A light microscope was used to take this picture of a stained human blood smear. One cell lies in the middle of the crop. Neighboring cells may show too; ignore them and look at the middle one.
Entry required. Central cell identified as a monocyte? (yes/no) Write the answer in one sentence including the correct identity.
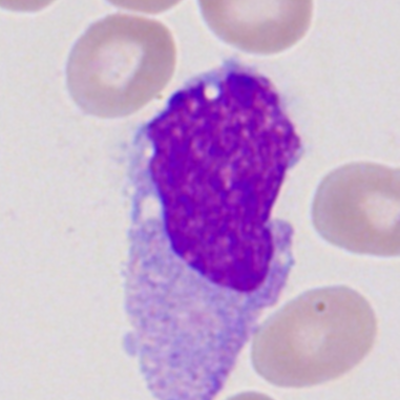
Yes, the middle cell is classified as a monocyte.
